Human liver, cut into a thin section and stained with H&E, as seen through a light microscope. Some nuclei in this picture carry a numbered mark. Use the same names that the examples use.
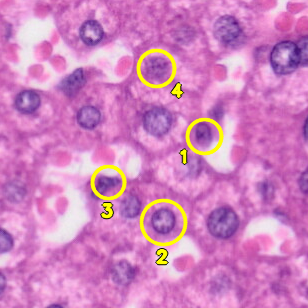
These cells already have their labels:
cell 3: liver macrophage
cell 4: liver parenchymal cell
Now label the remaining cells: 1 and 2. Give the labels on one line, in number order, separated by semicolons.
liver macrophage; liver parenchymal cell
